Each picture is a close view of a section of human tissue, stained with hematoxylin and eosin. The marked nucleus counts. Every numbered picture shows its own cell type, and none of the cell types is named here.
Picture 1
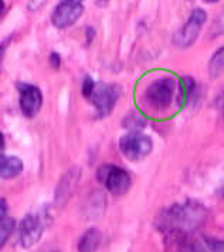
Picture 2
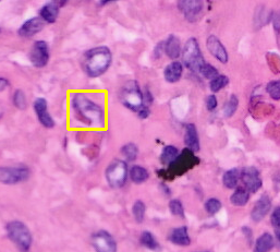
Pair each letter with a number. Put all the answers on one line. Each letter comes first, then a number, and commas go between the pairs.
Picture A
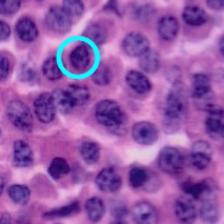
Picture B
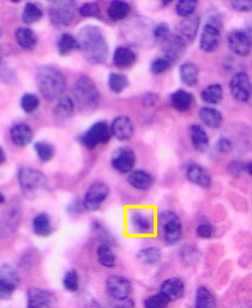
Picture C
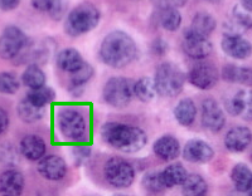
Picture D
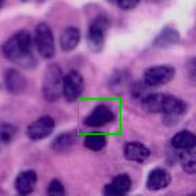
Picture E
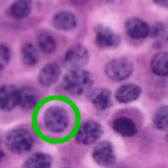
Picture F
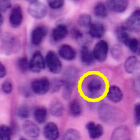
A 1, B 1, C 1, D 1, E 1, F 2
